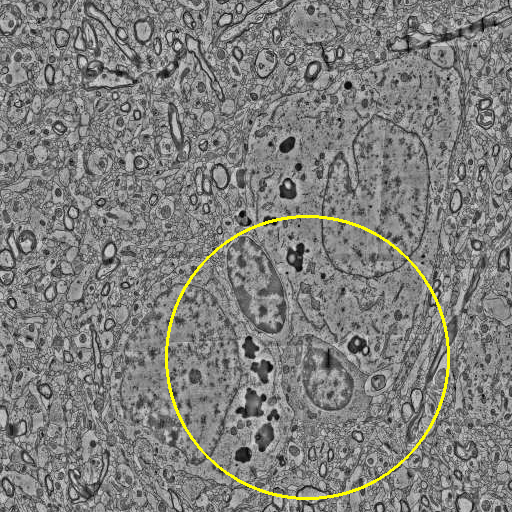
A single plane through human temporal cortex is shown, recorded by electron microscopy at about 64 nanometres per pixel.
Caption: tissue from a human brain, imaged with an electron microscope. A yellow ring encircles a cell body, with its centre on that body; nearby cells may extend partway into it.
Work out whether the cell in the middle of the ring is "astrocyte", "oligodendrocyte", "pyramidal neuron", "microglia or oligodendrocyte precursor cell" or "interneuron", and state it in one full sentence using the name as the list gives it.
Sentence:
In the picture, the cell that the yellow ring surrounds at its centre is an oligodendrocyte.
